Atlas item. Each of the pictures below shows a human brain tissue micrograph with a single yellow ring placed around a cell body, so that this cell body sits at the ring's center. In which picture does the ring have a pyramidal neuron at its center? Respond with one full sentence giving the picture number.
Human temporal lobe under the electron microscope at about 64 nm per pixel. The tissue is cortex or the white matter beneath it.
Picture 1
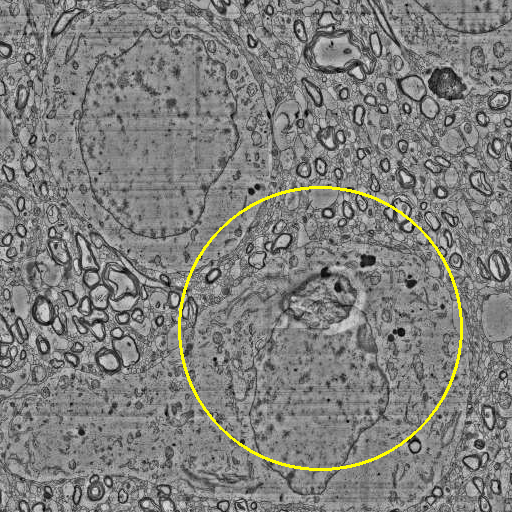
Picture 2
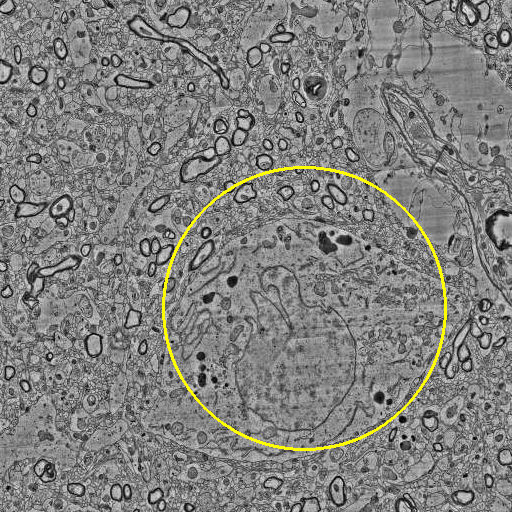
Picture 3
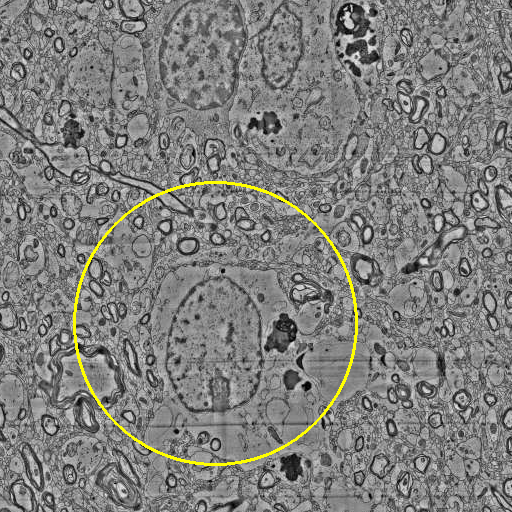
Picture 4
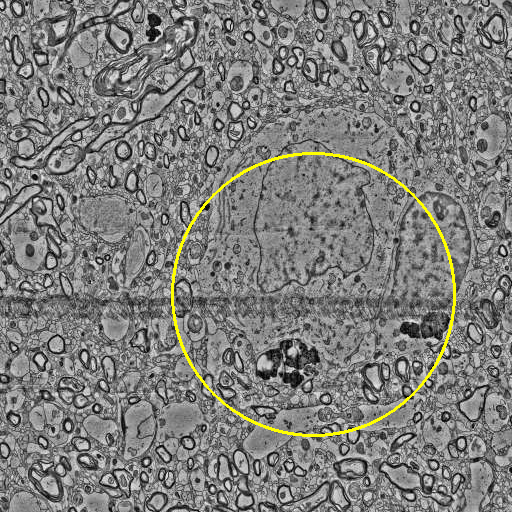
The cell at the ring's center that fits lies in picture 1.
